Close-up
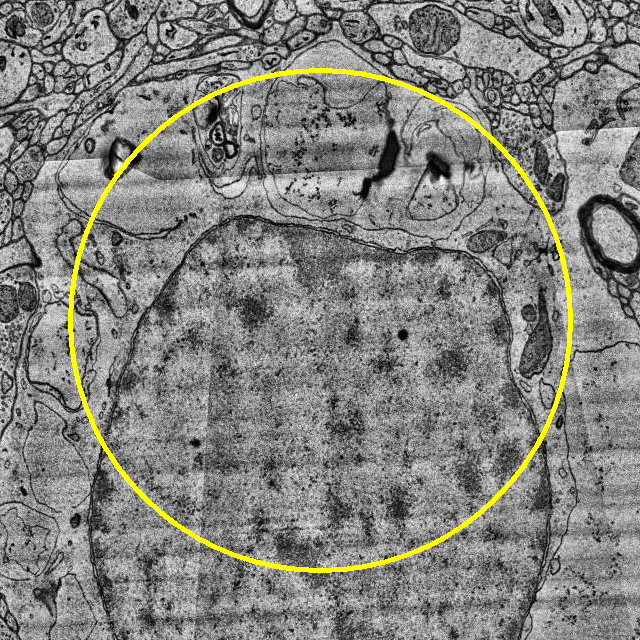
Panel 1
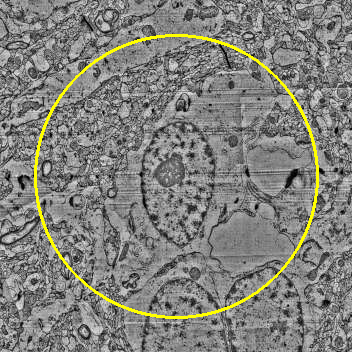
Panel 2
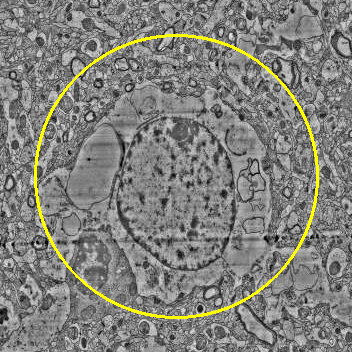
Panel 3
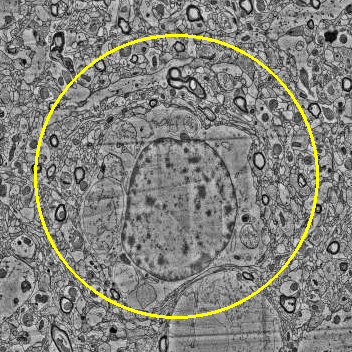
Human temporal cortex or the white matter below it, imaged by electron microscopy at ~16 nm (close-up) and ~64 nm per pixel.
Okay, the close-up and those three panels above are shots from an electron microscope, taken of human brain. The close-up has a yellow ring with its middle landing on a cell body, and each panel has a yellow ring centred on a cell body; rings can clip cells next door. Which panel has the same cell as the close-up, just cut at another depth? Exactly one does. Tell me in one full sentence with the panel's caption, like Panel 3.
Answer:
The cell within the yellow ring of Panel 3 is the one in the close-up.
